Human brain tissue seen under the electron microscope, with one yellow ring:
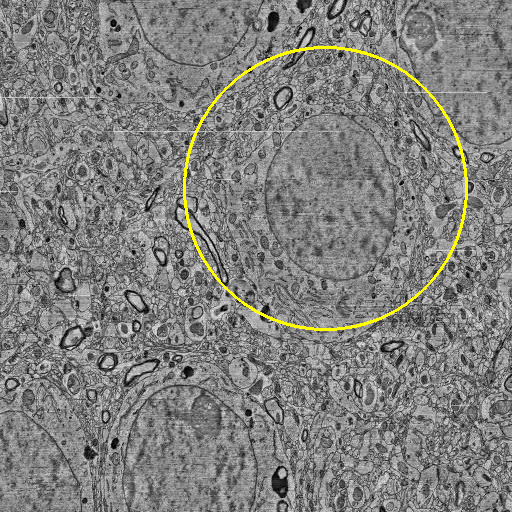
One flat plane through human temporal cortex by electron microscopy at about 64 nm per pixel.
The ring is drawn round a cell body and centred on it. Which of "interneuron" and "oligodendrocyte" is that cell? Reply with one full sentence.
The picture shows an interneuron at the very centre of the yellow ring.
